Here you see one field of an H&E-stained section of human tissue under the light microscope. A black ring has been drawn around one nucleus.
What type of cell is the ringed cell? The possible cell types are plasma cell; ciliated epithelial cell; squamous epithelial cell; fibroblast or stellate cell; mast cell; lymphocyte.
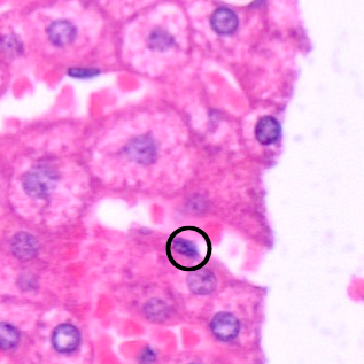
fibroblast or stellate cell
